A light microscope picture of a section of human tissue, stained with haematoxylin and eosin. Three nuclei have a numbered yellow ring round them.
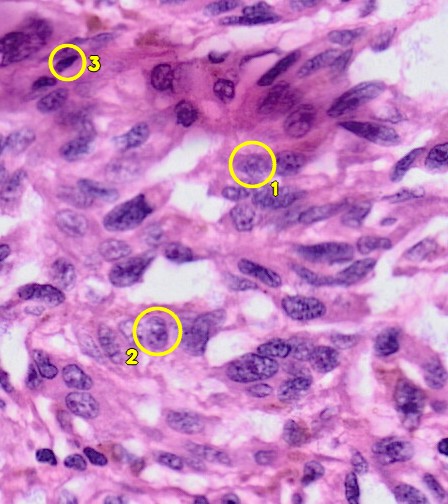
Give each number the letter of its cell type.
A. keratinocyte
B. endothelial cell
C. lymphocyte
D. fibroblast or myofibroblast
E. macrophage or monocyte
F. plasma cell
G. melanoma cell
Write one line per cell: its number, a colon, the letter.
1: G
2: G
3: C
